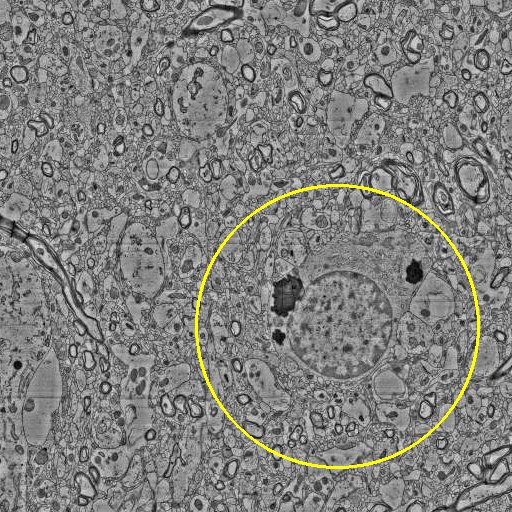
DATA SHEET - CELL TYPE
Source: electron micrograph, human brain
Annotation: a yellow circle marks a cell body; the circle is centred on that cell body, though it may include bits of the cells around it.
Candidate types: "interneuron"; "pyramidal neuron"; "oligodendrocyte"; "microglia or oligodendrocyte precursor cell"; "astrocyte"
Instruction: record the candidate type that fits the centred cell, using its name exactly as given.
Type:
oligodendrocyte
